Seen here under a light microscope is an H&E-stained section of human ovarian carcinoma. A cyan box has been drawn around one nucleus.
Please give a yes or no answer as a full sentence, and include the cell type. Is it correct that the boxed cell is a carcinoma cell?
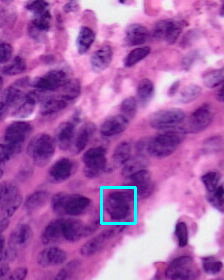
Yes, the description of the boxed cell as a carcinoma cell is accurate.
